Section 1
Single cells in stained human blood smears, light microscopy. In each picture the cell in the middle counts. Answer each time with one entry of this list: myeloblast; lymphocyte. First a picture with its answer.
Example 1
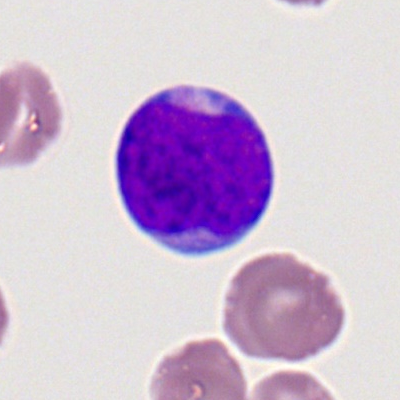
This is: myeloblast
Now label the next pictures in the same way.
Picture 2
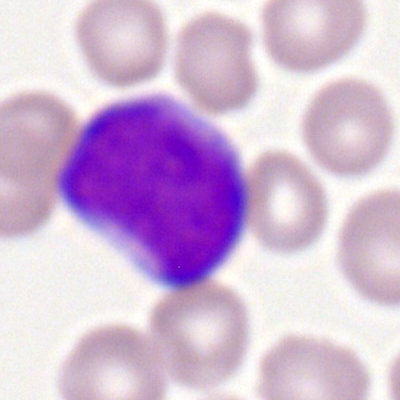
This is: myeloblast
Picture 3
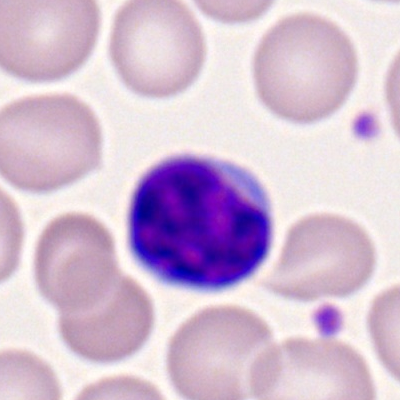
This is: lymphocyte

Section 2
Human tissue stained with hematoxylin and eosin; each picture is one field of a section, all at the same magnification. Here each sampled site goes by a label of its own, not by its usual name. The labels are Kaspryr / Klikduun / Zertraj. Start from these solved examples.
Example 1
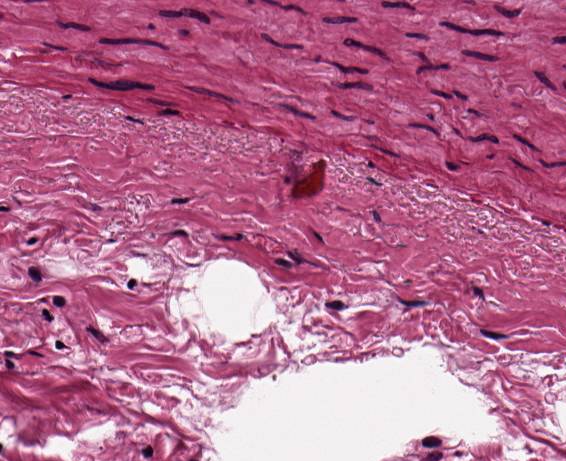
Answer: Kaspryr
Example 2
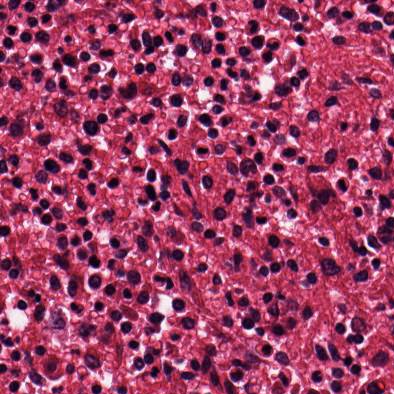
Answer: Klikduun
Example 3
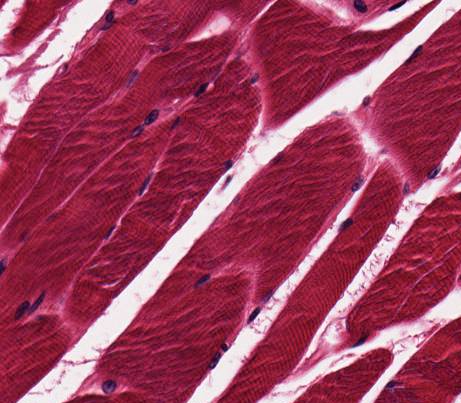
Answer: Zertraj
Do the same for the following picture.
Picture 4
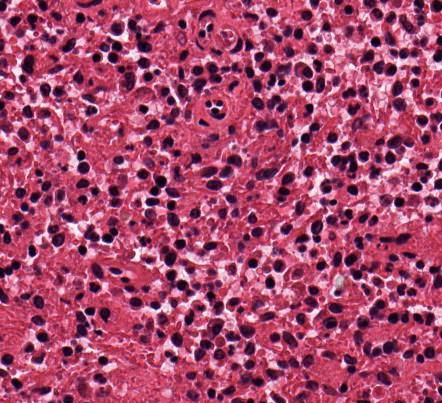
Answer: Klikduun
